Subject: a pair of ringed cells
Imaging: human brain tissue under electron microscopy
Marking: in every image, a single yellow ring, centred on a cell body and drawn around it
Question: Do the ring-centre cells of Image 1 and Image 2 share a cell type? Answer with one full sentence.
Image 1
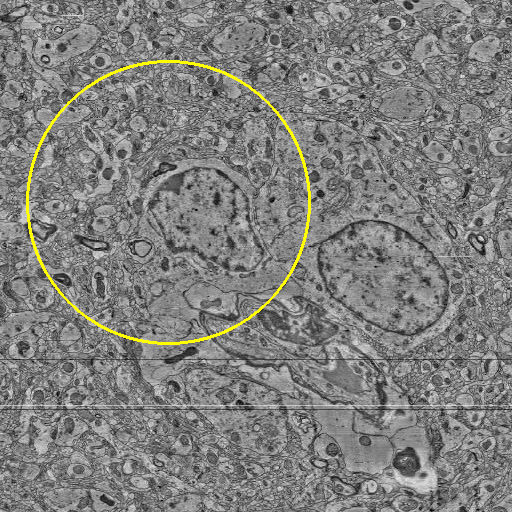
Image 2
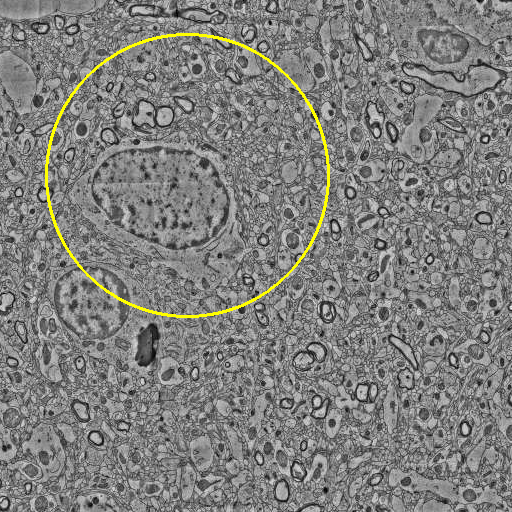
Yes, at each ring's centre in the images sits a cell of one common type.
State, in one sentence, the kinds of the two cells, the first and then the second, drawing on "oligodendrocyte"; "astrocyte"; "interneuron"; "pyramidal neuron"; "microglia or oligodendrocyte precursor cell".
Both rings mark a microglial cell or oligodendrocyte precursor cell, one in each picture.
